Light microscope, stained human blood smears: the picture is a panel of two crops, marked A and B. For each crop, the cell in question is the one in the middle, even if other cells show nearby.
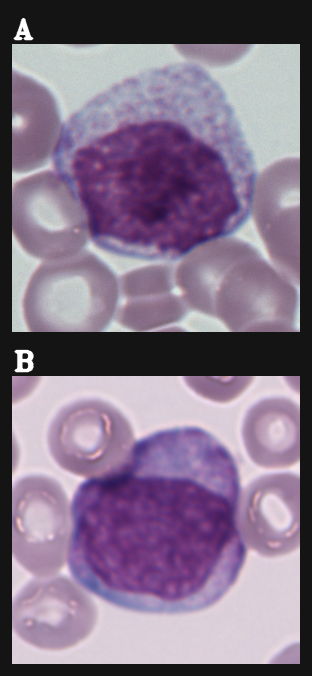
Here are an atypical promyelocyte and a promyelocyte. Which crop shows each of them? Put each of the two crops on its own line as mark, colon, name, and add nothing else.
A: promyelocyte
B: atypical promyelocyte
